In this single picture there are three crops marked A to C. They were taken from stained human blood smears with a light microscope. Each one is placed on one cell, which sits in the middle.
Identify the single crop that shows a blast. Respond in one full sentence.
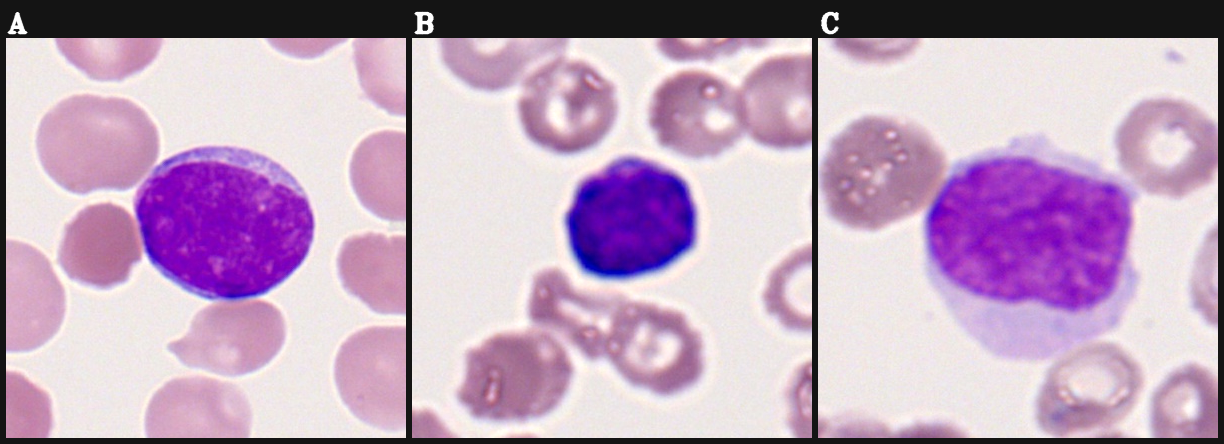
Crop A is the crop in which a blast is shown.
